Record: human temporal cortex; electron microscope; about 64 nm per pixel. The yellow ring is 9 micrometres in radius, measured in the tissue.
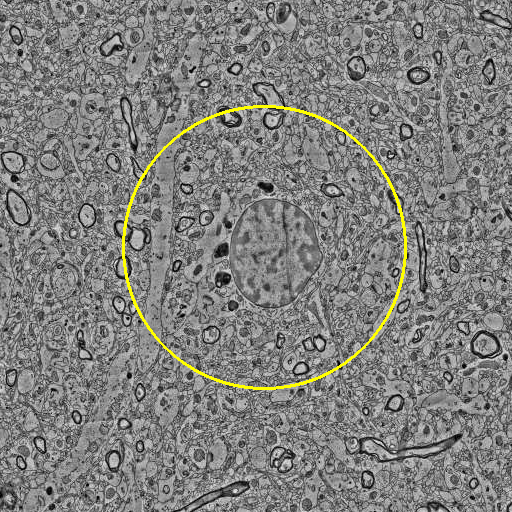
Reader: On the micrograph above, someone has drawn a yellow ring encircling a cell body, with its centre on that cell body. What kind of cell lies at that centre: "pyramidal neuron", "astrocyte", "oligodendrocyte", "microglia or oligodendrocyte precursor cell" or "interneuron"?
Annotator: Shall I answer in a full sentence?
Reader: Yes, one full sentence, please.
Here a microglial cell or oligodendrocyte precursor cell sits at the centre of the yellow ring drawn on the micrograph.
